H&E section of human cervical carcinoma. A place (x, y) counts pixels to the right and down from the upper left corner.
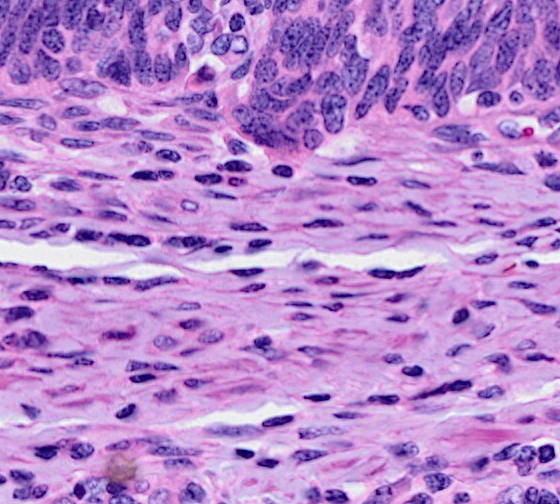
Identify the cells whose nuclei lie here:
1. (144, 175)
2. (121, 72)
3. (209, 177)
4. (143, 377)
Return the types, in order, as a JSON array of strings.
["lymphocyte", "squamous carcinoma cell", "lymphocyte", "lymphocyte"]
